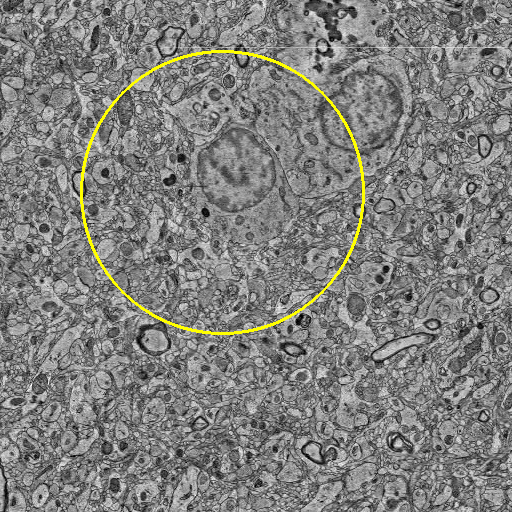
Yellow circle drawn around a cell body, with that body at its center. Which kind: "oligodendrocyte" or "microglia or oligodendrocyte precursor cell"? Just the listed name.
oligodendrocyte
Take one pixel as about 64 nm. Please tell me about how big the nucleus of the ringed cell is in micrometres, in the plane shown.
The nucleus is about 5 micrometres across in this plane.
